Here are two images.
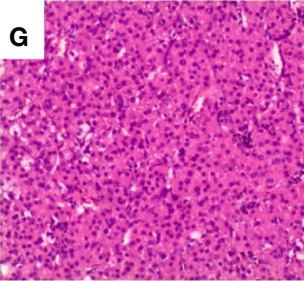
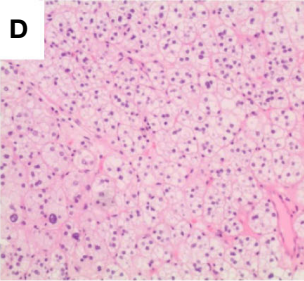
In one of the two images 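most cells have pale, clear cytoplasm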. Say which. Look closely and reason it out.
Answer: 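The second image. First image: most cells have dense pink cytoplasm and are tightly packed. Second image: most cells have pale, vacuolated cytoplasm with distinct borders.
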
